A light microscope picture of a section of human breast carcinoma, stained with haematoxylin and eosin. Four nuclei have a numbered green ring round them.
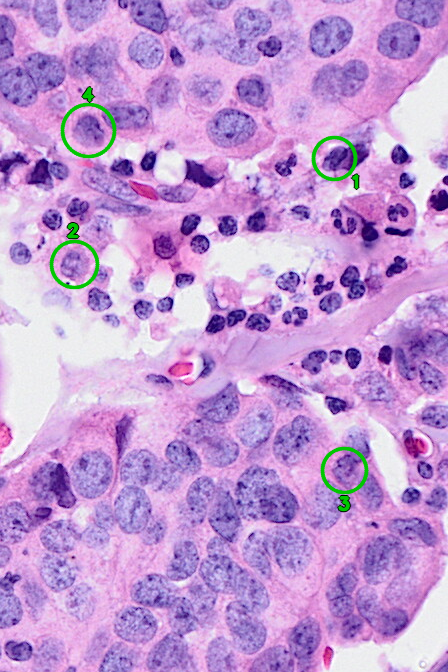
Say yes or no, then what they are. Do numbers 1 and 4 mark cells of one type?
No, not so; cell 1 is a lymphocyte and cell 4 is a carcinoma cell.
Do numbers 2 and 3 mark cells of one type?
No, the cell labelled 2 is a macrophage, monocyte or dendritic cell; the cell labelled 3 is a carcinoma cell.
